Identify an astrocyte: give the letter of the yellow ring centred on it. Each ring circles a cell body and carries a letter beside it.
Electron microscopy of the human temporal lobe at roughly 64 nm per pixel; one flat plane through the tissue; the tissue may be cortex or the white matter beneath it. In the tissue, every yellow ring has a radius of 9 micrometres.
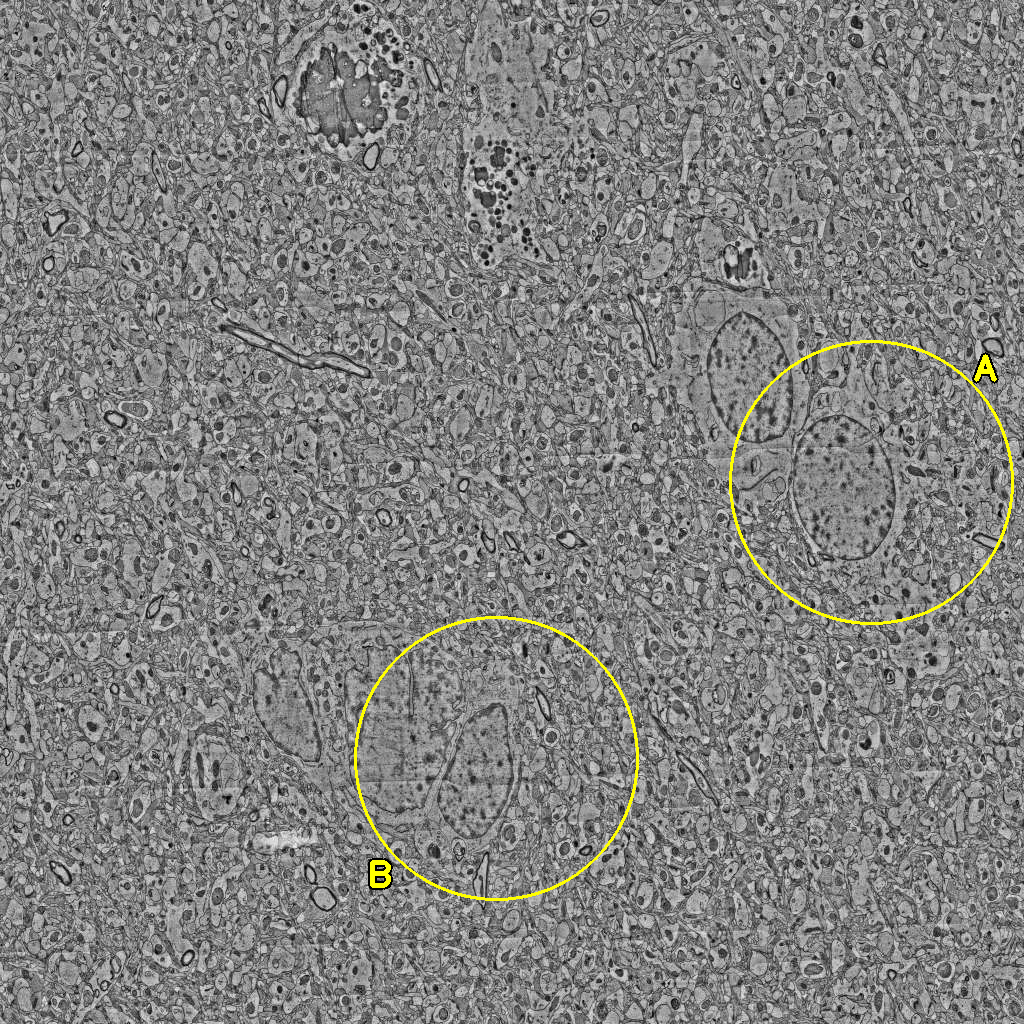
A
